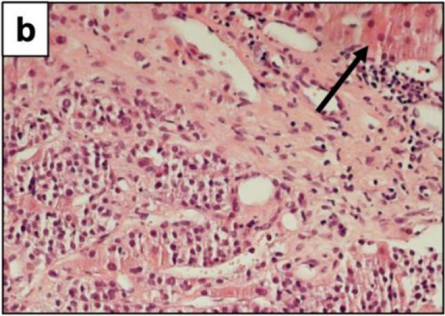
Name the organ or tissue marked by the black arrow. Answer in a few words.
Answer: Liver tissue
